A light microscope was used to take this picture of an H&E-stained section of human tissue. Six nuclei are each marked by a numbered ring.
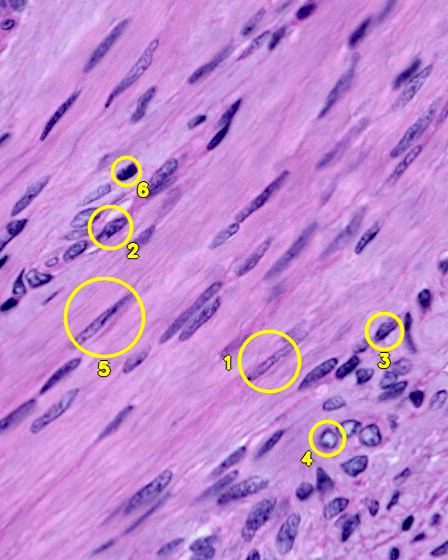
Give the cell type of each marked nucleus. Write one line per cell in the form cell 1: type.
cell 1: smooth muscle cell
cell 2: endothelial cell
cell 3: fibroblast
cell 4: endothelial cell
cell 5: fibroblast
cell 6: lymphocyte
